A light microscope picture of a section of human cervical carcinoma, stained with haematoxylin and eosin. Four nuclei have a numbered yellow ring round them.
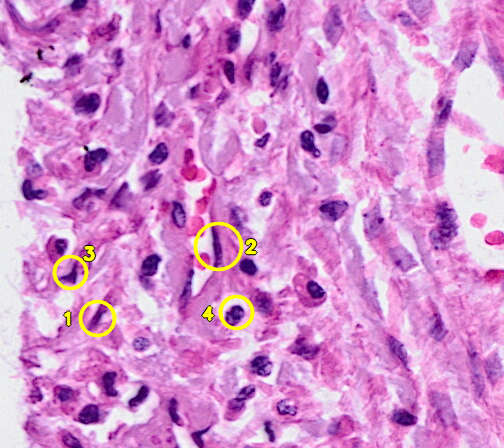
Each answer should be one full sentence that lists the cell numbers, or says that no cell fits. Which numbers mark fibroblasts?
The cells to which the numbers 1 and 3 refer are fibroblasts.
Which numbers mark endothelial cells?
Among all the marked cells, an endothelial cell is found only at number 2.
